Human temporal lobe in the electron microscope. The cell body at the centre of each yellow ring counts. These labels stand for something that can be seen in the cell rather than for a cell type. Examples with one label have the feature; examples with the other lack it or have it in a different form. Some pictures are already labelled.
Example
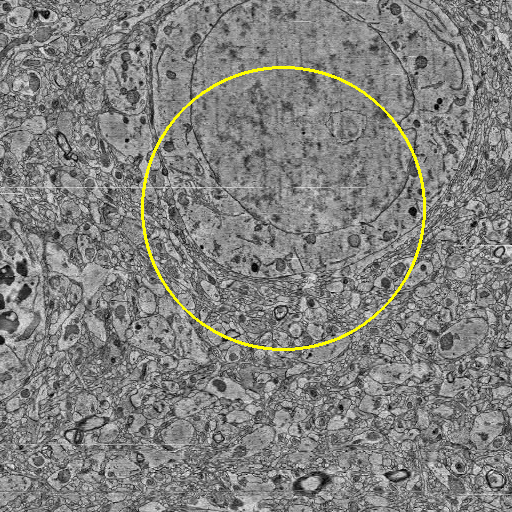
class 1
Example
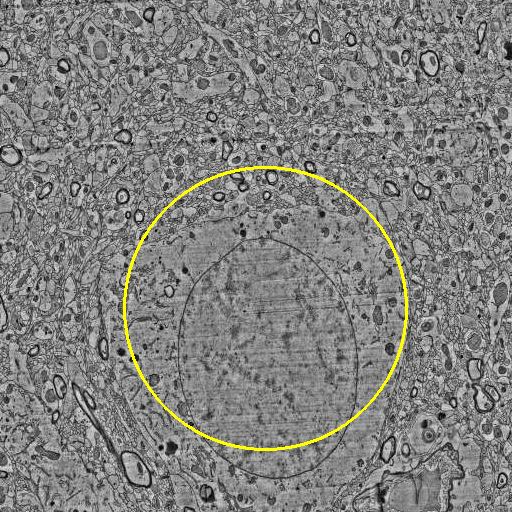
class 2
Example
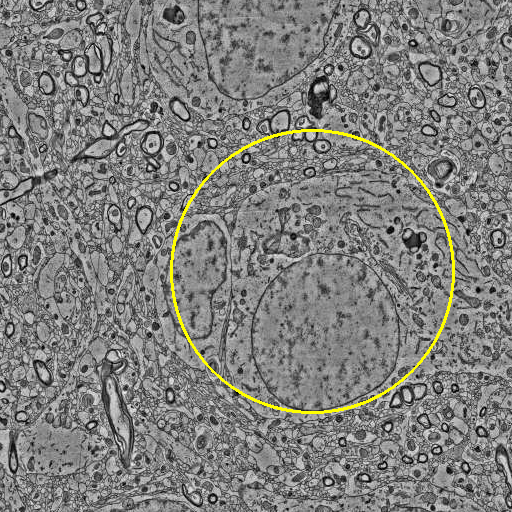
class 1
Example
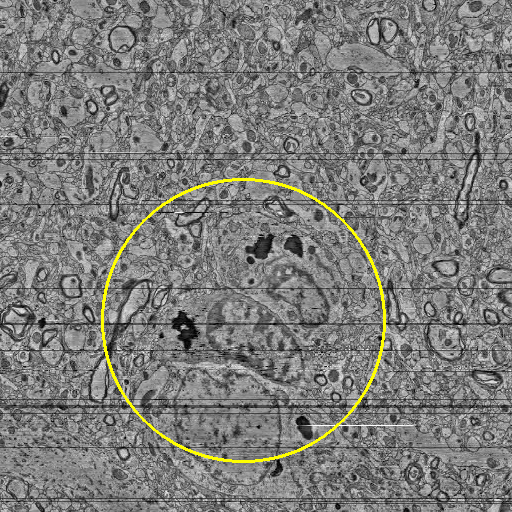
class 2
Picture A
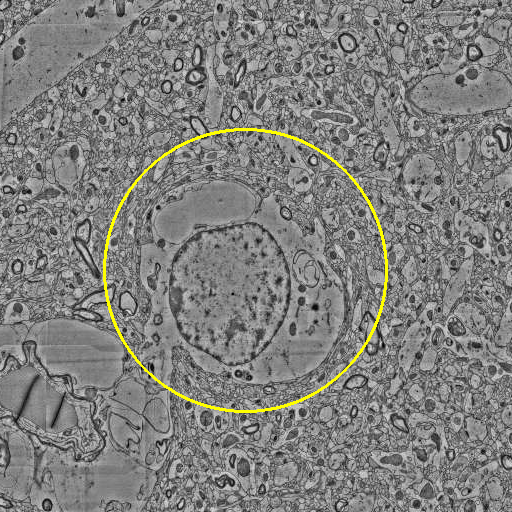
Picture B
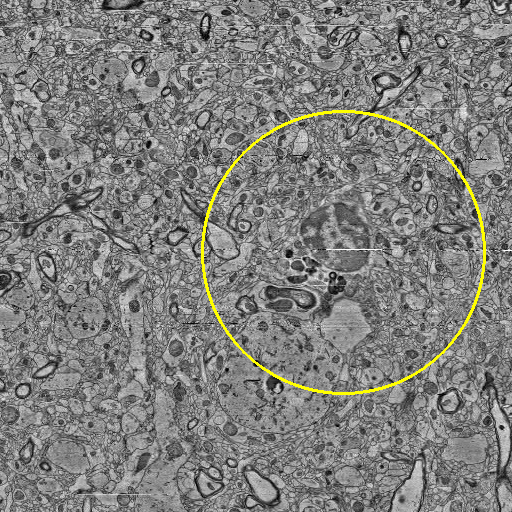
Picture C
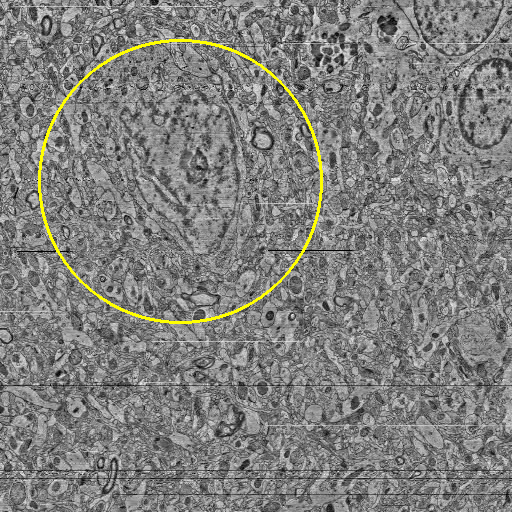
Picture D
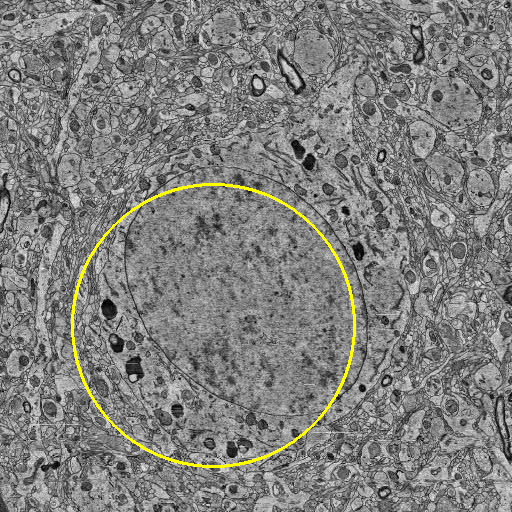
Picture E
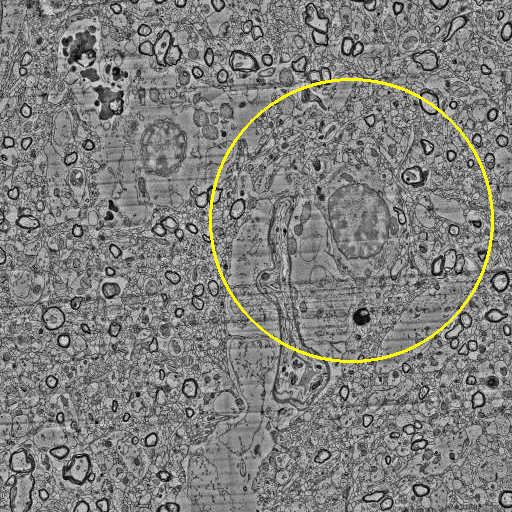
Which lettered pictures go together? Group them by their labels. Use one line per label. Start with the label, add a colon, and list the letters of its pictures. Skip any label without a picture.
class 1: A, B, D, E
class 2: C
